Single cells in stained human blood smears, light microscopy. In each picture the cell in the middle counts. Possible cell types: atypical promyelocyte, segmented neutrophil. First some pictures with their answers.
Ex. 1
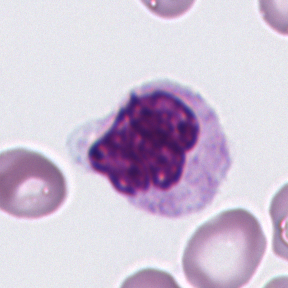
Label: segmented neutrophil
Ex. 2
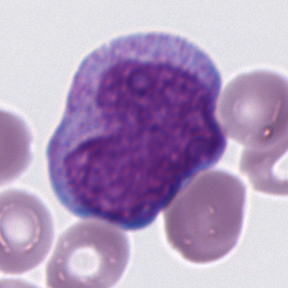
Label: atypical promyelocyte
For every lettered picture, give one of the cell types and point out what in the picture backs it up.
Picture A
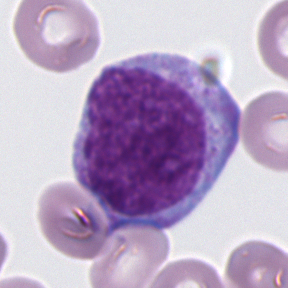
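atypical promyelocyte. The cytoplasm is blue, deepest in colour at the cell margin.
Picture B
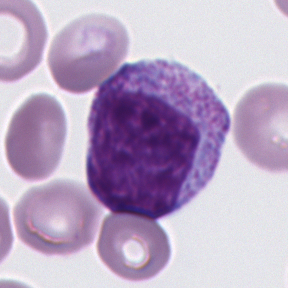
atypical promyelocyte. The nucleus is a single unlobed mass filling most of the cell.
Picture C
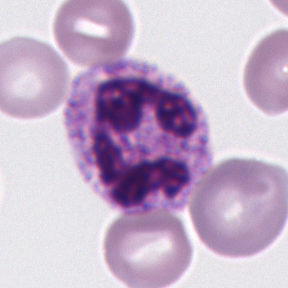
segmented neutrophil. Ample pale pink cytoplasm surrounds and lies between the nuclear lobes.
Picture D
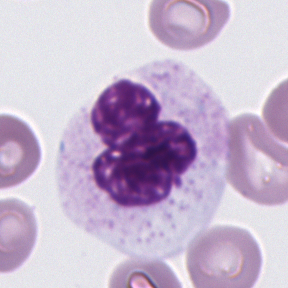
segmented neutrophil. The cytoplasm is abundant and very pale lilac-grey.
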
